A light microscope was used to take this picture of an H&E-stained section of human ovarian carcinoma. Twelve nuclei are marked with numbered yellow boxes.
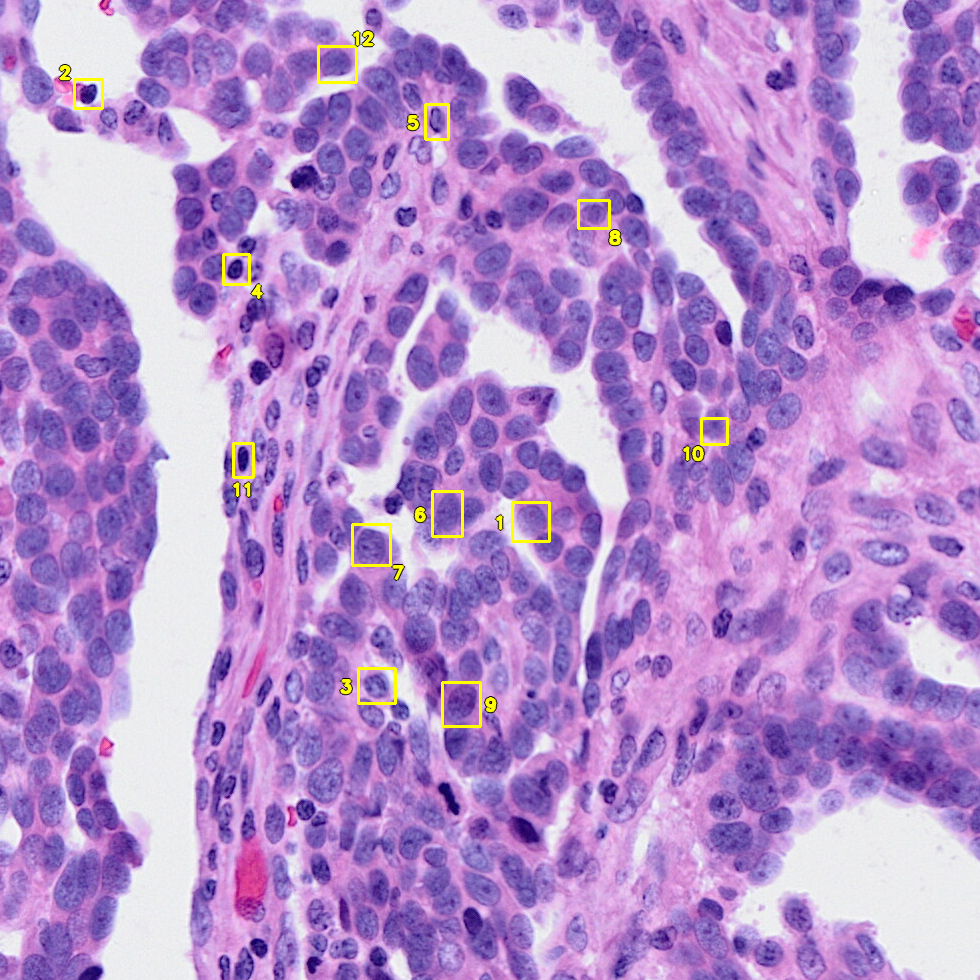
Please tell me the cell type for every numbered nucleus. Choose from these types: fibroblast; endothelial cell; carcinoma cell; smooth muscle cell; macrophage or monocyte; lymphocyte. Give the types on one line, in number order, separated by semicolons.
carcinoma cell; lymphocyte; macrophage or monocyte; lymphocyte; macrophage or monocyte; carcinoma cell; carcinoma cell; carcinoma cell; carcinoma cell; carcinoma cell; lymphocyte; carcinoma cell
